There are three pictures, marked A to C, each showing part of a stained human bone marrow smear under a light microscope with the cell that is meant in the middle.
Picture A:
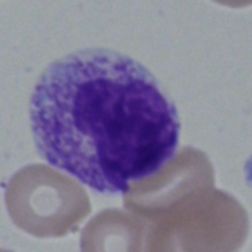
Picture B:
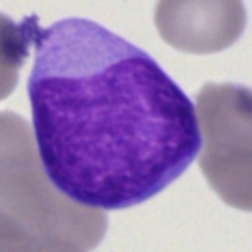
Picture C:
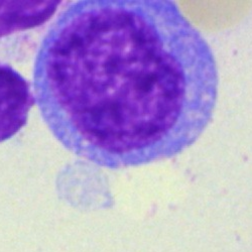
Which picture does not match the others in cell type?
A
